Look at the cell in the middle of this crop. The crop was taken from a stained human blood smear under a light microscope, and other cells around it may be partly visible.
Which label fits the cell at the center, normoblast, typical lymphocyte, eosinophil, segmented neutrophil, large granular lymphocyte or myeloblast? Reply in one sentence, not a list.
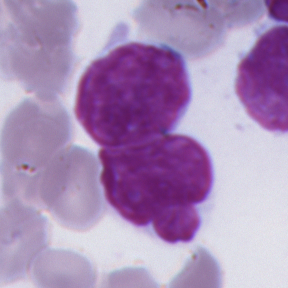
The centrally located cell in the crop is a myeloblast.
